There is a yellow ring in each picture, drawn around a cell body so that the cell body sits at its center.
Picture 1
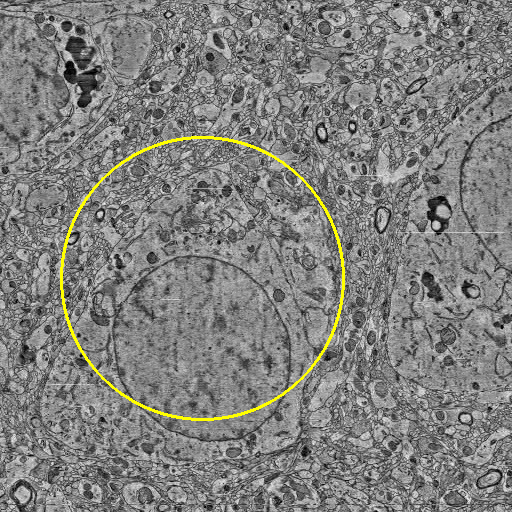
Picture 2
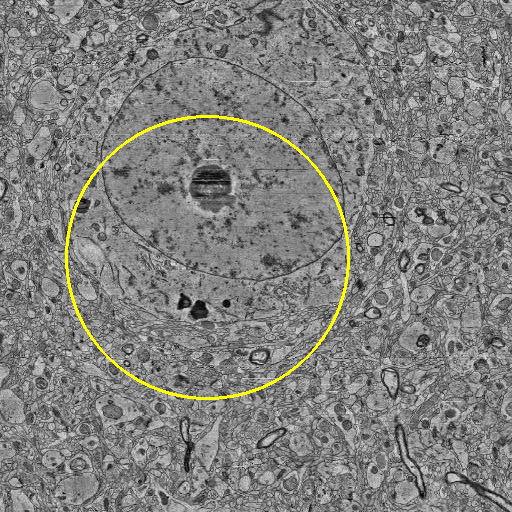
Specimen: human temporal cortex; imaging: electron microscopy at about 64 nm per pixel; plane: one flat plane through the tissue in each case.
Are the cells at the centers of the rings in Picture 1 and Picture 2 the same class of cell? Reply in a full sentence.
Yes, the two cells are the same class of cell.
